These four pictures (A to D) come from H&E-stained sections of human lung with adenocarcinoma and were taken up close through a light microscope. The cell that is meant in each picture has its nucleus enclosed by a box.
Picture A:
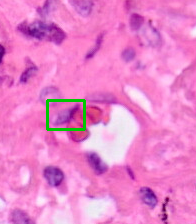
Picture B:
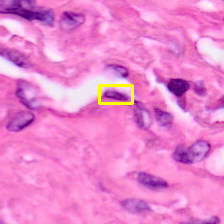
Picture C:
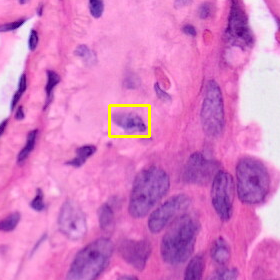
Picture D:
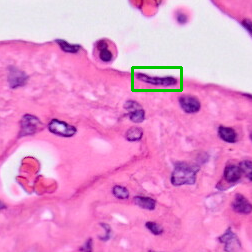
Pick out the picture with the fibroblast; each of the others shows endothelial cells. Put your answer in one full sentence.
Picture C is the one that shows the fibroblast.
